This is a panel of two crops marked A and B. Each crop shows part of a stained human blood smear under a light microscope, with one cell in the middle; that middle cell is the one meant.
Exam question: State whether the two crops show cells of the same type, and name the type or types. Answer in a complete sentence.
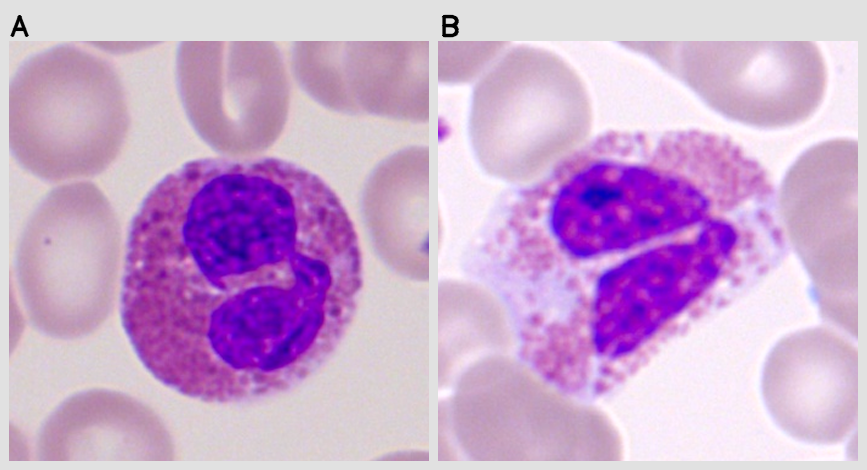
Yes, the centre of both crops is taken up by eosinophils.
